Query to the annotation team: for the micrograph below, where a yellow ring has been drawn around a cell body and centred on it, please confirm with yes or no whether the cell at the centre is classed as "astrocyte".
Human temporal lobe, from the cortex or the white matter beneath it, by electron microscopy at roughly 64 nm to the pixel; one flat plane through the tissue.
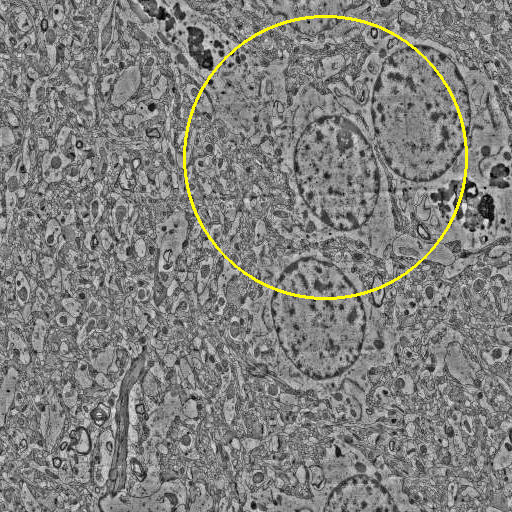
Yes, it is classed that way.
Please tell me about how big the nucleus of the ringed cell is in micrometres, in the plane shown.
In this plane, about 7 micrometres in length and 5 in width.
